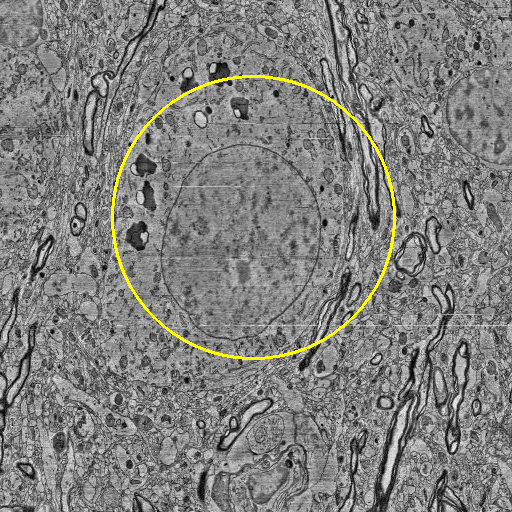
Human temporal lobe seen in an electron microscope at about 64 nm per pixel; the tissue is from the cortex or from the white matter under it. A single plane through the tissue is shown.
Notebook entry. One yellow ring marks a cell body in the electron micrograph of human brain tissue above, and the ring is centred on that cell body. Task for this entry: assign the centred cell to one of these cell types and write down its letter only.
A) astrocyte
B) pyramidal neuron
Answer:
B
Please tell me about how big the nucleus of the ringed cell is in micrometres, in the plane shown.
Roughly 13 by 10 micrometres is the size of the nucleus in this plane.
